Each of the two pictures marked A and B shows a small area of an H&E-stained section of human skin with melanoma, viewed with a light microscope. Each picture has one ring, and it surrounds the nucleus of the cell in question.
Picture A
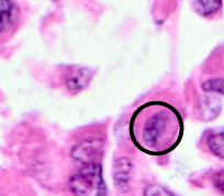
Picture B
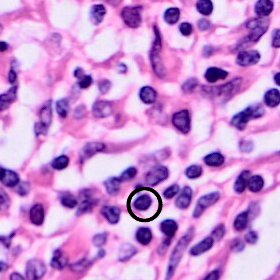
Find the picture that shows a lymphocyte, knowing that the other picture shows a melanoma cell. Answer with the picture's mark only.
B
